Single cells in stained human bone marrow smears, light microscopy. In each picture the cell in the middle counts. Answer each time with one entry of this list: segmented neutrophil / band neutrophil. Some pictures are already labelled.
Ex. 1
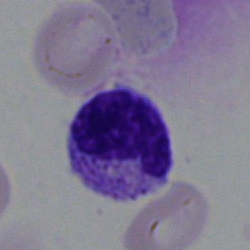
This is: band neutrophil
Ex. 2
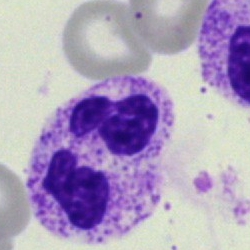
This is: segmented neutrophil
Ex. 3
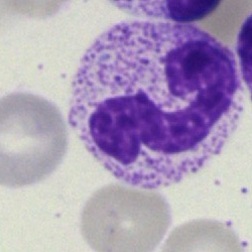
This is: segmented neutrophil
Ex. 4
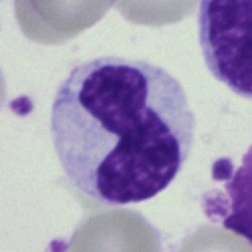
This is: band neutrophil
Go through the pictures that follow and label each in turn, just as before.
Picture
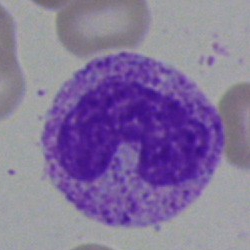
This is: band neutrophil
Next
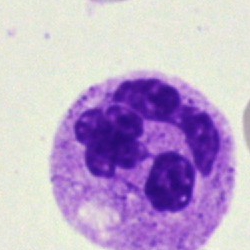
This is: segmented neutrophil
